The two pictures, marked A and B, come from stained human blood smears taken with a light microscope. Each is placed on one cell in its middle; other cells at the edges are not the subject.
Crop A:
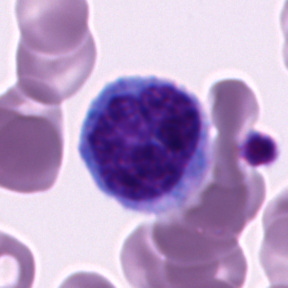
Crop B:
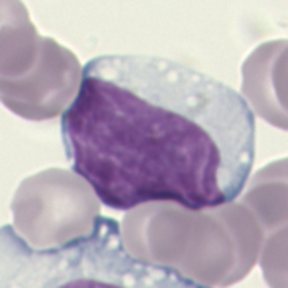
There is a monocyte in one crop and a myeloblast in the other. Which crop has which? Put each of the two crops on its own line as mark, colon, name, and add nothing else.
A: monocyte
B: myeloblast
